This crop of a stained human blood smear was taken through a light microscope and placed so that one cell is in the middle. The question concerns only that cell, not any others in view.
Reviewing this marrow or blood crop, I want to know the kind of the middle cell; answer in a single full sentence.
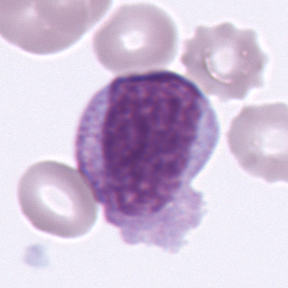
The central cell, amid any neighbouring cells, is an atypical promyelocyte.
